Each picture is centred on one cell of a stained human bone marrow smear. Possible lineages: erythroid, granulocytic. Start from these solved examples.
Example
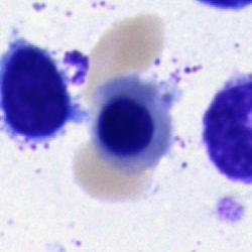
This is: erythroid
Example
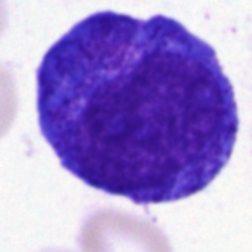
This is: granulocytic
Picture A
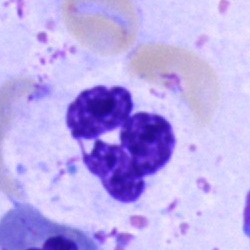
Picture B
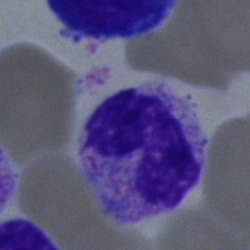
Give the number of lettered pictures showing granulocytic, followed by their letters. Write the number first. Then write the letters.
2: A, B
